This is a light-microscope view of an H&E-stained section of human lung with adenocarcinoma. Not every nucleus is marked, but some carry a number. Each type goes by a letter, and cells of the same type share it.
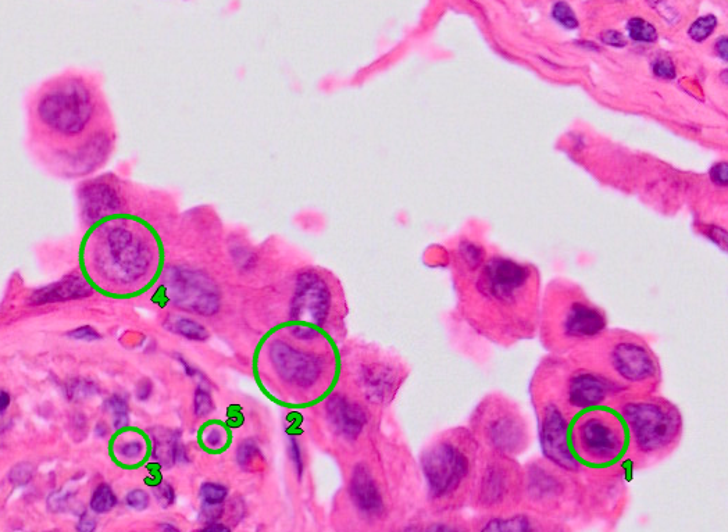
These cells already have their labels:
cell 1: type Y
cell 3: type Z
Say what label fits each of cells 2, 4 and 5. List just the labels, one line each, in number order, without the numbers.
type Y
type Y
type Z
